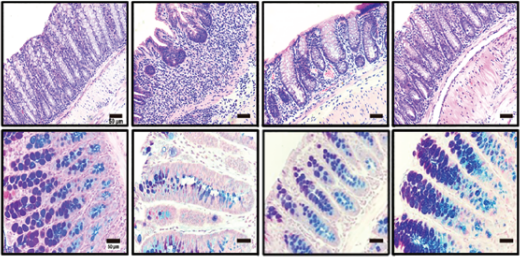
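These are sections of colon mucosa: the upper row is stained pink and purple, and the lower row shows the crypt epithelium with goblet cells filled with blue to purple mucin. In most images the crypts are long, regular and densely packed with goblet cells. In one column, however, the crypt architecture is disrupted, the mucosa is crowded with densely packed small nucleated cells, and far fewer mucin-filled goblet cells remain.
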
